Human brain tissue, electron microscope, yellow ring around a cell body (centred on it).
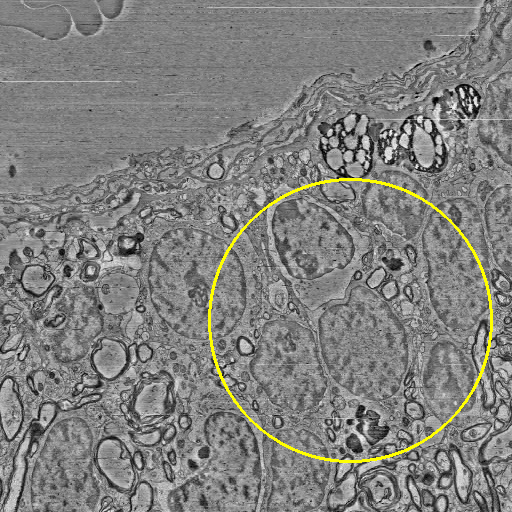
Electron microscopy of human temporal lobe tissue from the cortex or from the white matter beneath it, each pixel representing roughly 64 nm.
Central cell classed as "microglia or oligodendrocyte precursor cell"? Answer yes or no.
no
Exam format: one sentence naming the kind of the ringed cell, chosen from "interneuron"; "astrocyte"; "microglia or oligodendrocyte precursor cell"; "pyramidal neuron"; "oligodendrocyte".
That cell in the ring is an oligodendrocyte instead.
